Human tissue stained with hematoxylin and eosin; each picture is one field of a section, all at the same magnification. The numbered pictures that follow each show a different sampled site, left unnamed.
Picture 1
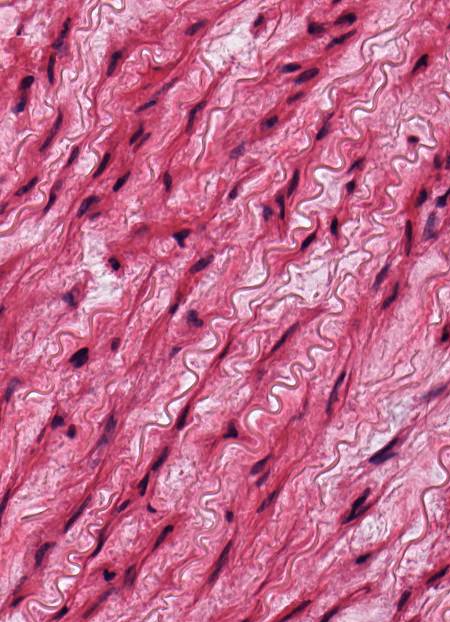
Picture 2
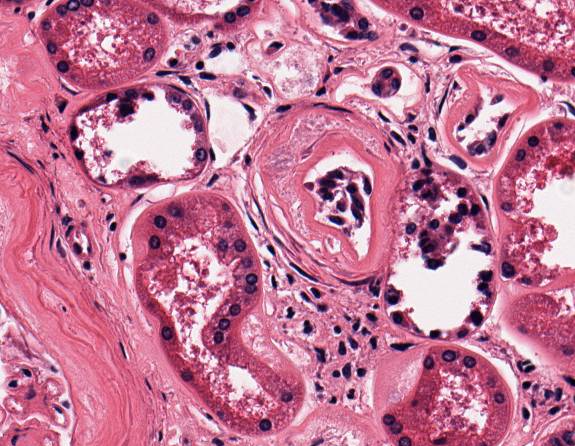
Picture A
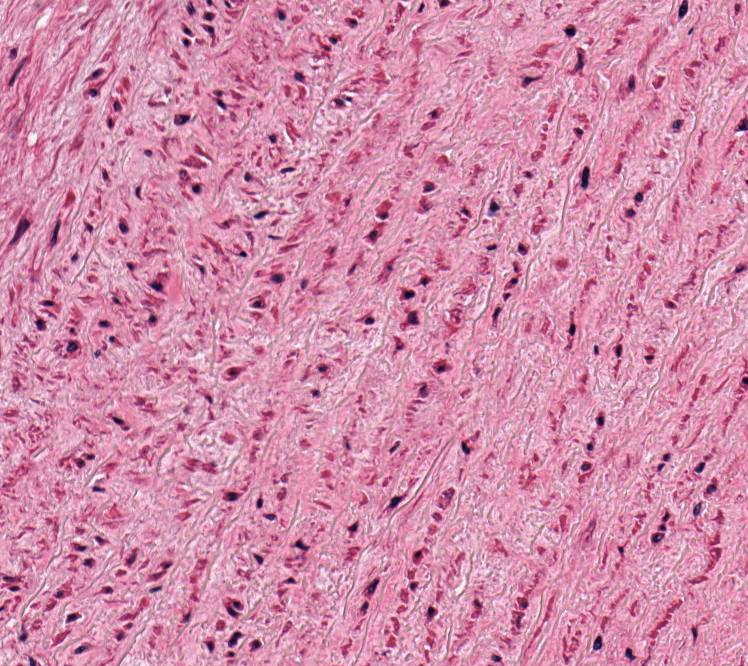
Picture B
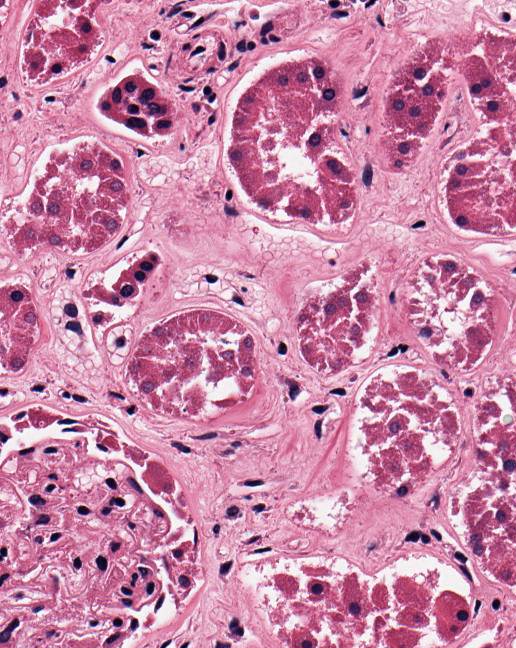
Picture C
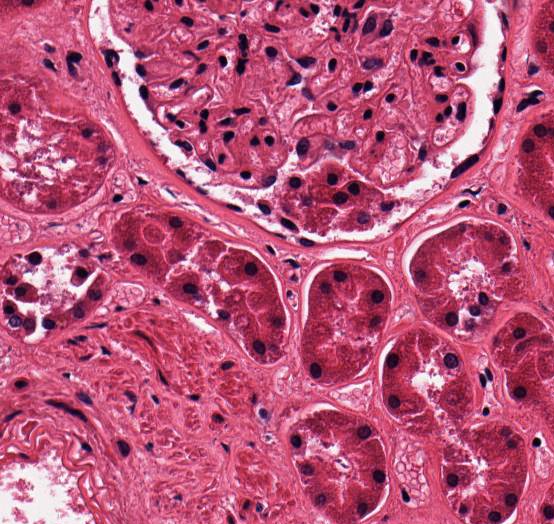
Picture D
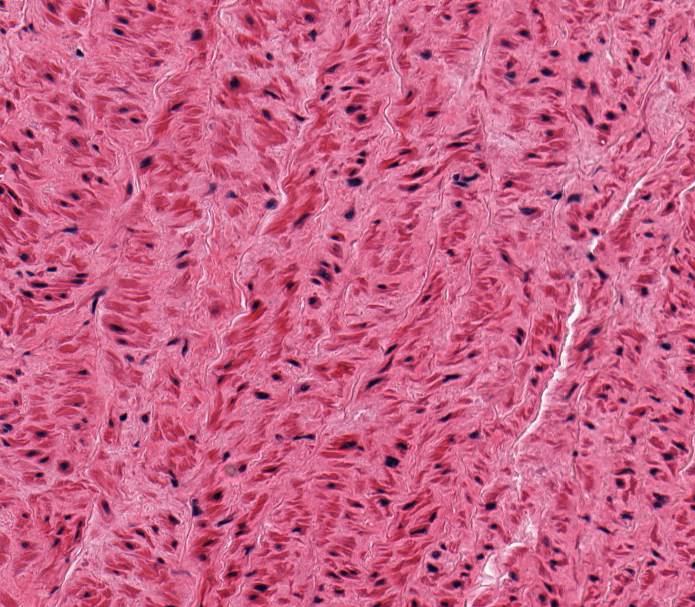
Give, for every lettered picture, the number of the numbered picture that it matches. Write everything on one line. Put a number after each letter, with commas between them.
A 1, B 2, C 2, D 1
